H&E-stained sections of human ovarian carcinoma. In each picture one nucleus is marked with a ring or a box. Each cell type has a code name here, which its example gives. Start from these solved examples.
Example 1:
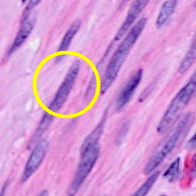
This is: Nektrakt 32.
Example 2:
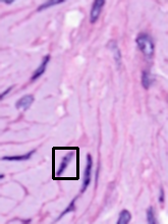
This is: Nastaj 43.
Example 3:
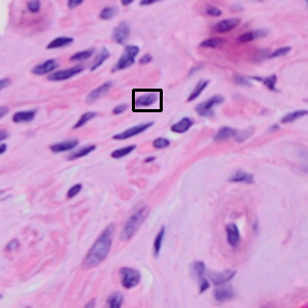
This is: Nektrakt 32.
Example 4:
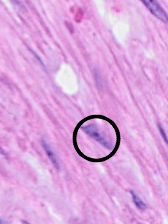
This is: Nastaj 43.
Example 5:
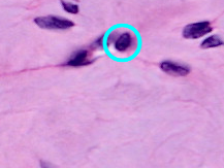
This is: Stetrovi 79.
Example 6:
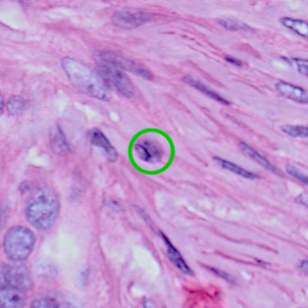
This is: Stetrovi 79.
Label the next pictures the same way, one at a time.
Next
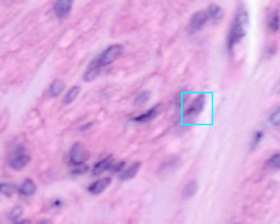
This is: Nektrakt 32.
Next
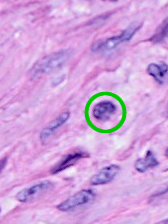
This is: Stetrovi 79.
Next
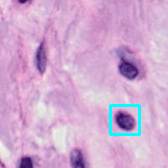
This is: Stetrovi 79.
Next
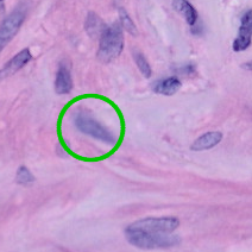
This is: Nektrakt 32.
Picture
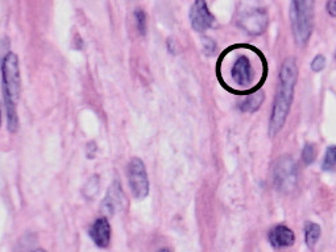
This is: Stetrovi 79.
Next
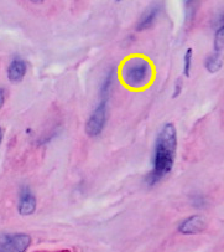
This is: Nektrakt 32.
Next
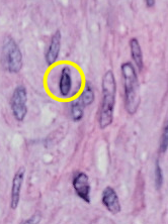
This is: Stetrovi 79.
